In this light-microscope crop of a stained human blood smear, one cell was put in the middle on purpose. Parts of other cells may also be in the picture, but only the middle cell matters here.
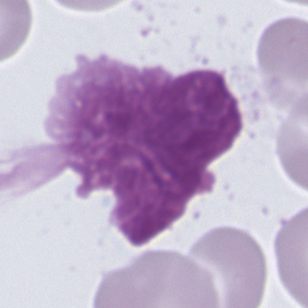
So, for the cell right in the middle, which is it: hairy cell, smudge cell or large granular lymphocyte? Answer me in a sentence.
Classified as a smudge cell is the cell in the middle of this crop.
